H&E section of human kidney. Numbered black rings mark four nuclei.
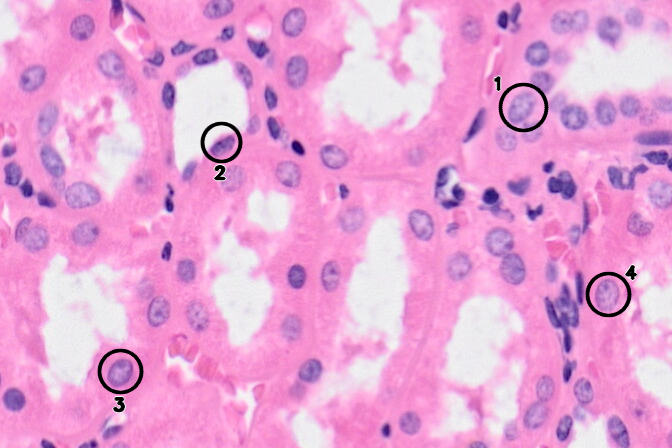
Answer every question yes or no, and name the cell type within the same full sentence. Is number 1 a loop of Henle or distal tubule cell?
No, the marked cell 1 is not a loop of Henle or distal tubule cell, being instead a collecting duct cell.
